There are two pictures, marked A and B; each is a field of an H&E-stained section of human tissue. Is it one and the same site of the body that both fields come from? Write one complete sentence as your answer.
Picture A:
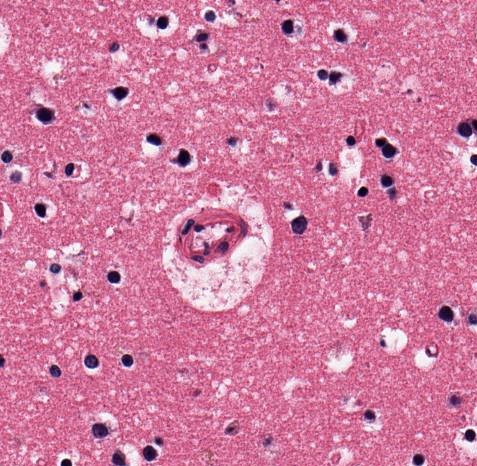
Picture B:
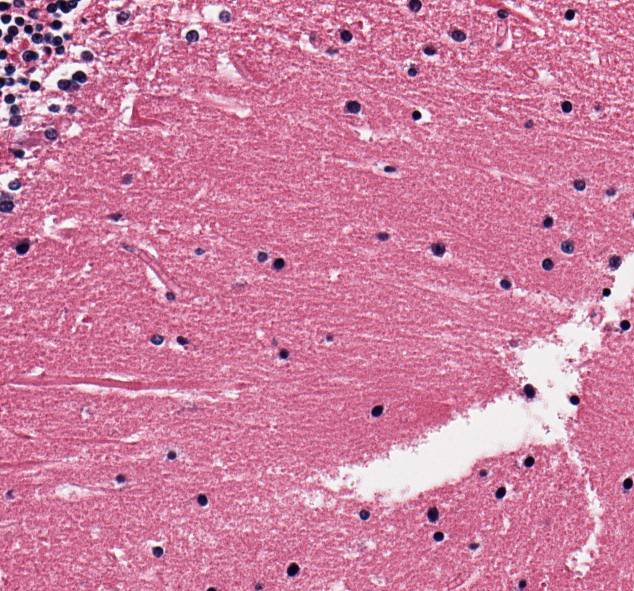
No: picture A comes from the cerebral cortex, but picture B comes from the cerebellum.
